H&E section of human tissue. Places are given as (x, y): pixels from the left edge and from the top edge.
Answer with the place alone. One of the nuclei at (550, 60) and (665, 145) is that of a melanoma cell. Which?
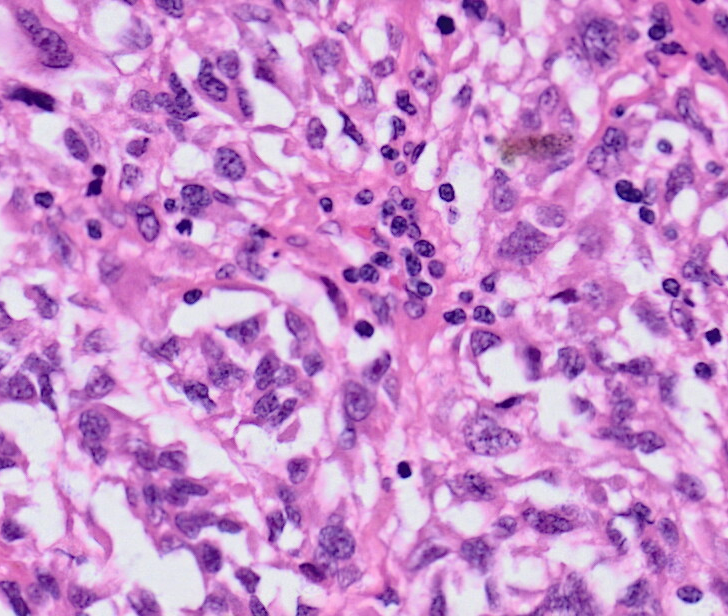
(550, 60)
